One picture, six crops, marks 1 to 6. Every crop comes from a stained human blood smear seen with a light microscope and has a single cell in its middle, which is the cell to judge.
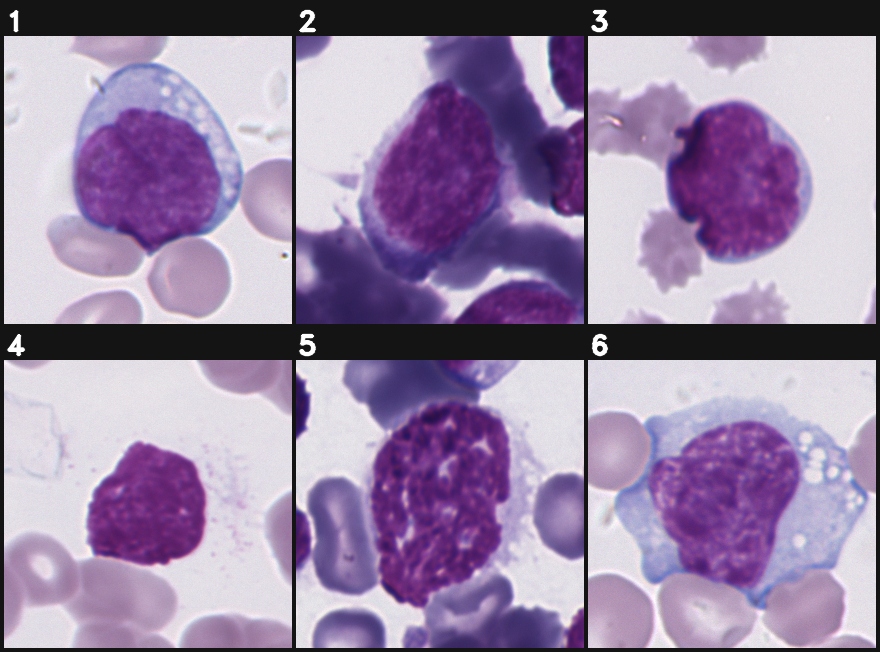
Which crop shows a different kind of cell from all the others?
4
